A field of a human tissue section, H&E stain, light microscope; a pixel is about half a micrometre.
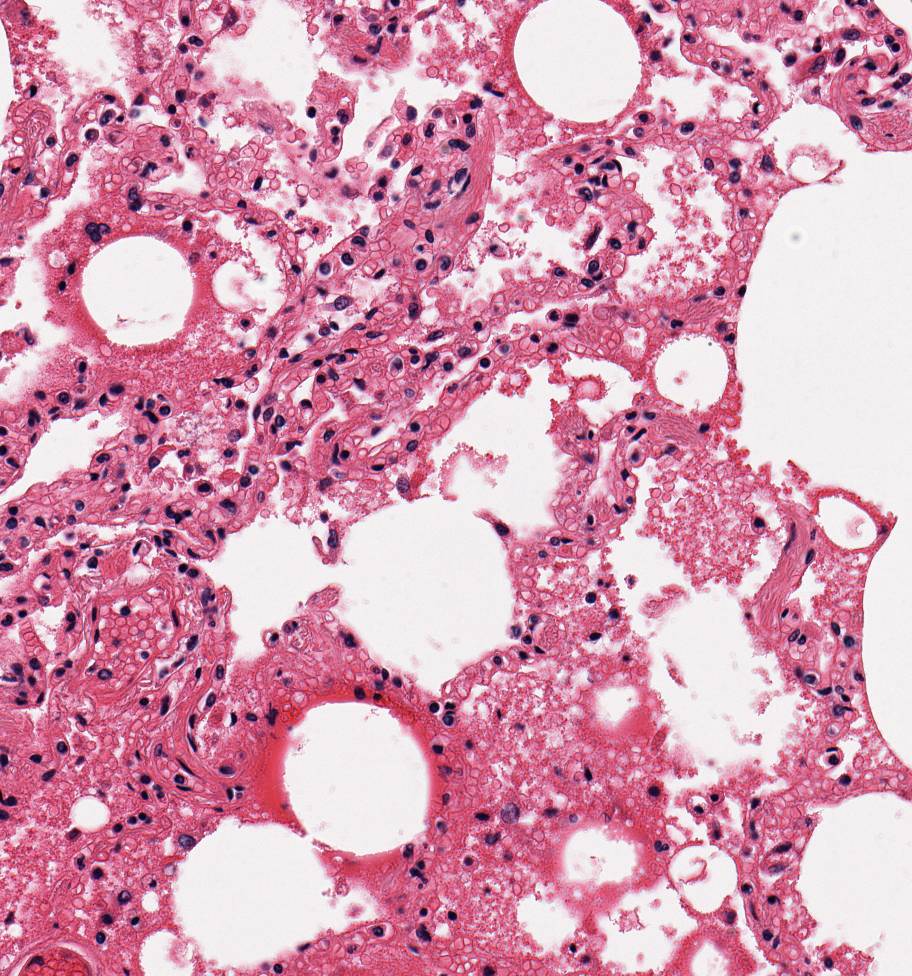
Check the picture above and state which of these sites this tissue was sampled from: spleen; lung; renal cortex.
lung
